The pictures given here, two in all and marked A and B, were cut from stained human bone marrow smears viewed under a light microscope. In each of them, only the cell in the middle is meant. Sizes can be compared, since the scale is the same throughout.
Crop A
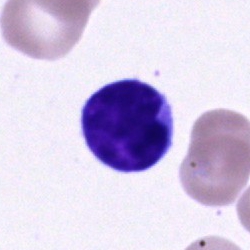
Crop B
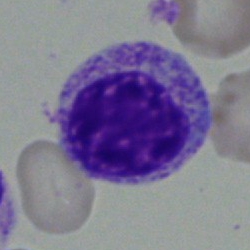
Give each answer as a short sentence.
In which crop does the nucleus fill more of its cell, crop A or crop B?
In crop A the nucleus takes up the larger part of its cell.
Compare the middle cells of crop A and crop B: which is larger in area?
The cell in crop B is larger, with about 2 times the area of the one in crop A.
